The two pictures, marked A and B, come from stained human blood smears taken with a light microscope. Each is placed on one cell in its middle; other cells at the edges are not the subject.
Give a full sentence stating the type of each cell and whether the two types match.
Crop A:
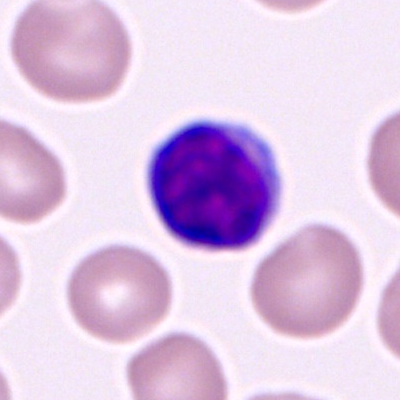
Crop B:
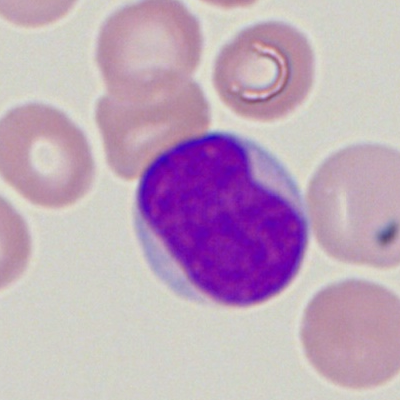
Yes, in the middle of both crops lie lymphocytes.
